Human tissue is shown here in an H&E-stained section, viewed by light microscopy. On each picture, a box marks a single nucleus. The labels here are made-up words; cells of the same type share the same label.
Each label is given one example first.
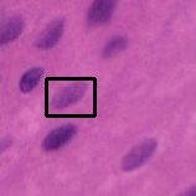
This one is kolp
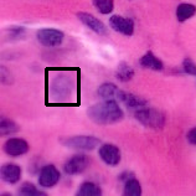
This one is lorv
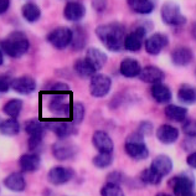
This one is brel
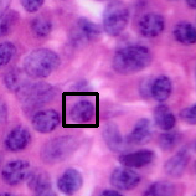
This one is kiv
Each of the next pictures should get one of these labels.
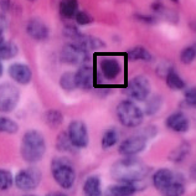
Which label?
kiv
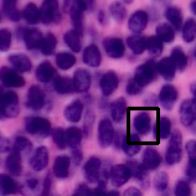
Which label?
brel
